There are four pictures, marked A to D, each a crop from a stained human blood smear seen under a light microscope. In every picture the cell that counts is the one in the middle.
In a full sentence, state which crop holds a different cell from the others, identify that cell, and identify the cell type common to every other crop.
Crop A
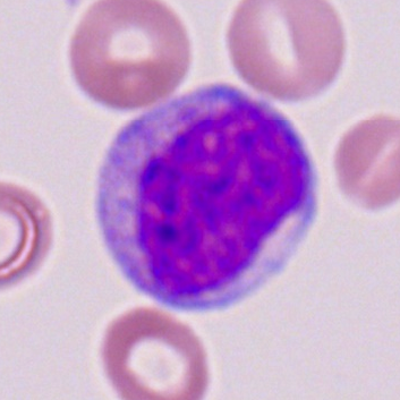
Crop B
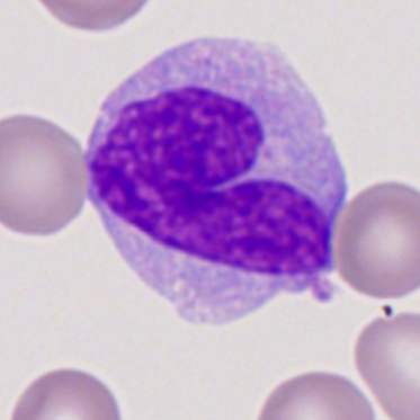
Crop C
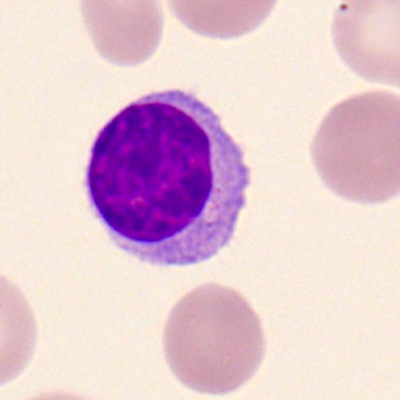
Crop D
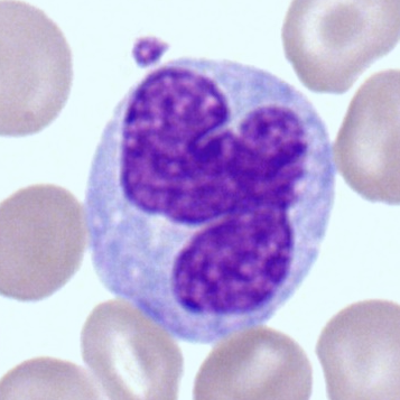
The different one is crop C, which is a lymphocyte; the rest all show monocytes.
